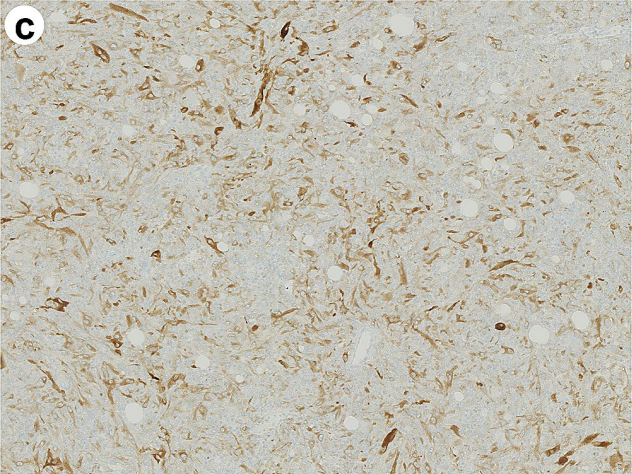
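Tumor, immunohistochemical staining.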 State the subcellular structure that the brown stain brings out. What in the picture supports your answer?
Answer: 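Cytoplasm. Brown stain fills elongated and spindle-shaped cell bodies. Nuclei are not picked out by the stain.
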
